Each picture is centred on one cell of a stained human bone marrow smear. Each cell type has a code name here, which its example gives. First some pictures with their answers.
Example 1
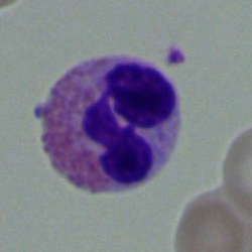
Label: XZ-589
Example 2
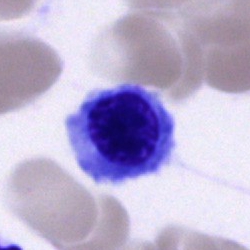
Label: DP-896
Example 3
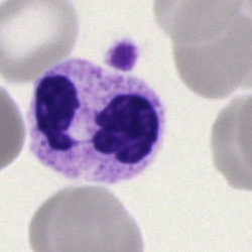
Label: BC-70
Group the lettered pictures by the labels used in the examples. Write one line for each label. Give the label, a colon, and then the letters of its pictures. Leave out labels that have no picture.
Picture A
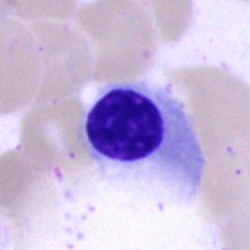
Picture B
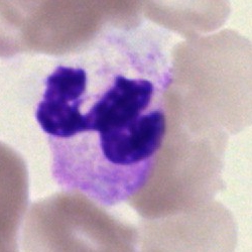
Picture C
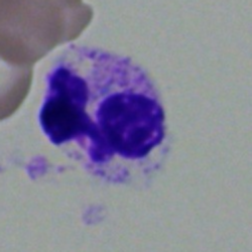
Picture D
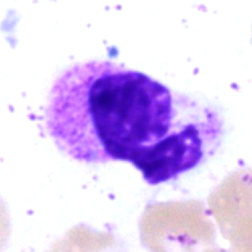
DP-896: A
BC-70: B, C, D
